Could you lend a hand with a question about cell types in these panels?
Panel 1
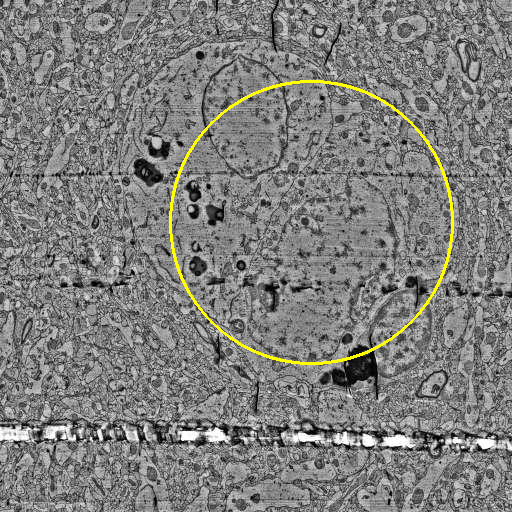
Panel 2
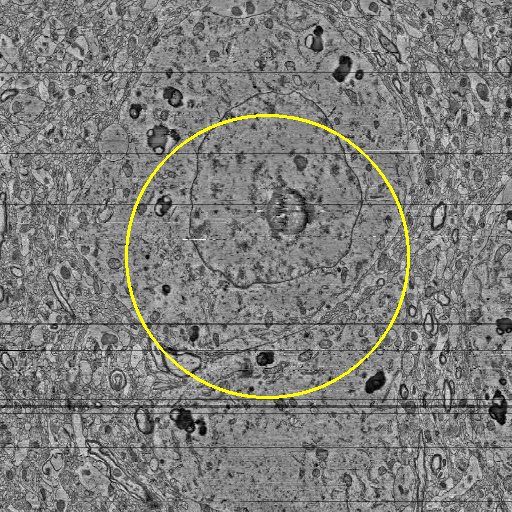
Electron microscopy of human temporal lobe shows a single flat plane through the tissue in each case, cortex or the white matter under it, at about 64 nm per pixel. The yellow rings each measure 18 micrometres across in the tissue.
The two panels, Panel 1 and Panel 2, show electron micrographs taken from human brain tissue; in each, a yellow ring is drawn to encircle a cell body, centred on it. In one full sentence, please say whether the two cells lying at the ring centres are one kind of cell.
No, the cells at the ring centres in the two panels are two kinds of cell.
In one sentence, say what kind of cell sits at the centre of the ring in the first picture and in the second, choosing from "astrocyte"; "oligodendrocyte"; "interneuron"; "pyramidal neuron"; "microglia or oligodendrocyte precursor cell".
The first picture's ringed cell is an interneuron, while the second picture's is a pyramidal neuron.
